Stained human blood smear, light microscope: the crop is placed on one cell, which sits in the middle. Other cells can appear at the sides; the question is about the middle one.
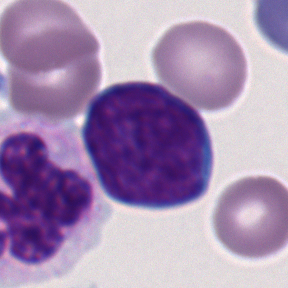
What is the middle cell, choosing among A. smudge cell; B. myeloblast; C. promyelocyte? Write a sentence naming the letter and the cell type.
Option B is the right one, for the cell in the middle is a myeloblast.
